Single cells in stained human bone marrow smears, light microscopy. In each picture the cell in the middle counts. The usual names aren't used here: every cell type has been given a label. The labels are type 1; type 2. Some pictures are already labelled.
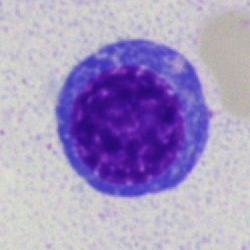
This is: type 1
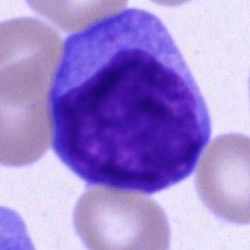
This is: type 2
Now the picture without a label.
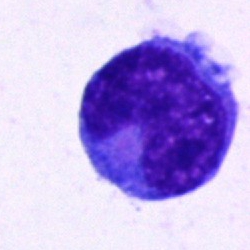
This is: type 2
